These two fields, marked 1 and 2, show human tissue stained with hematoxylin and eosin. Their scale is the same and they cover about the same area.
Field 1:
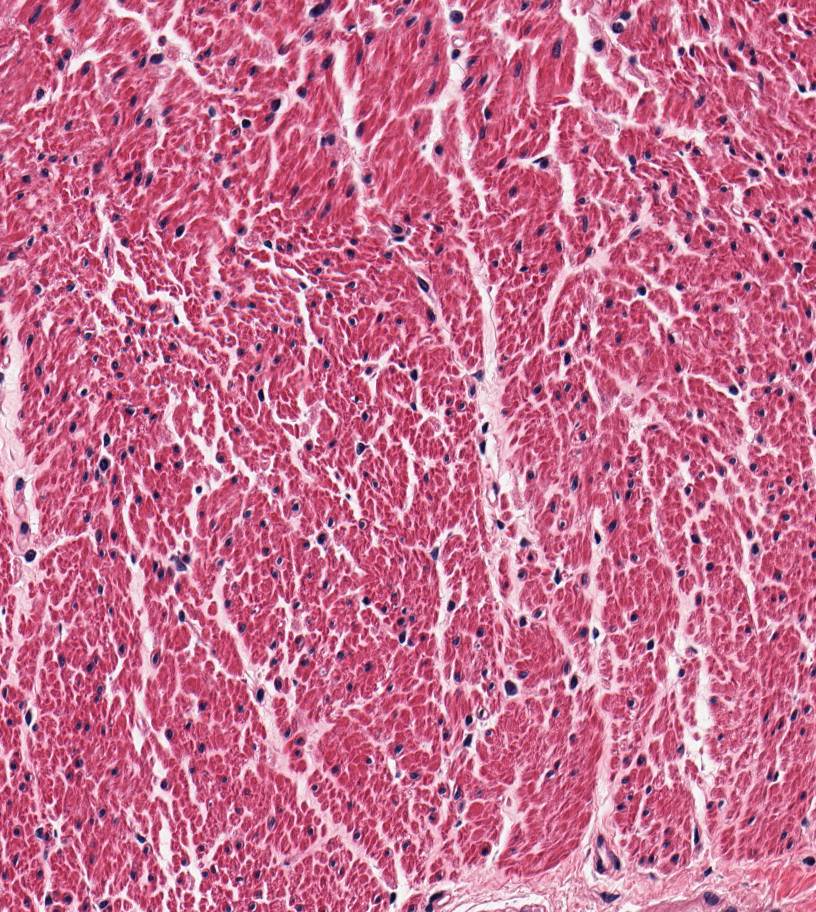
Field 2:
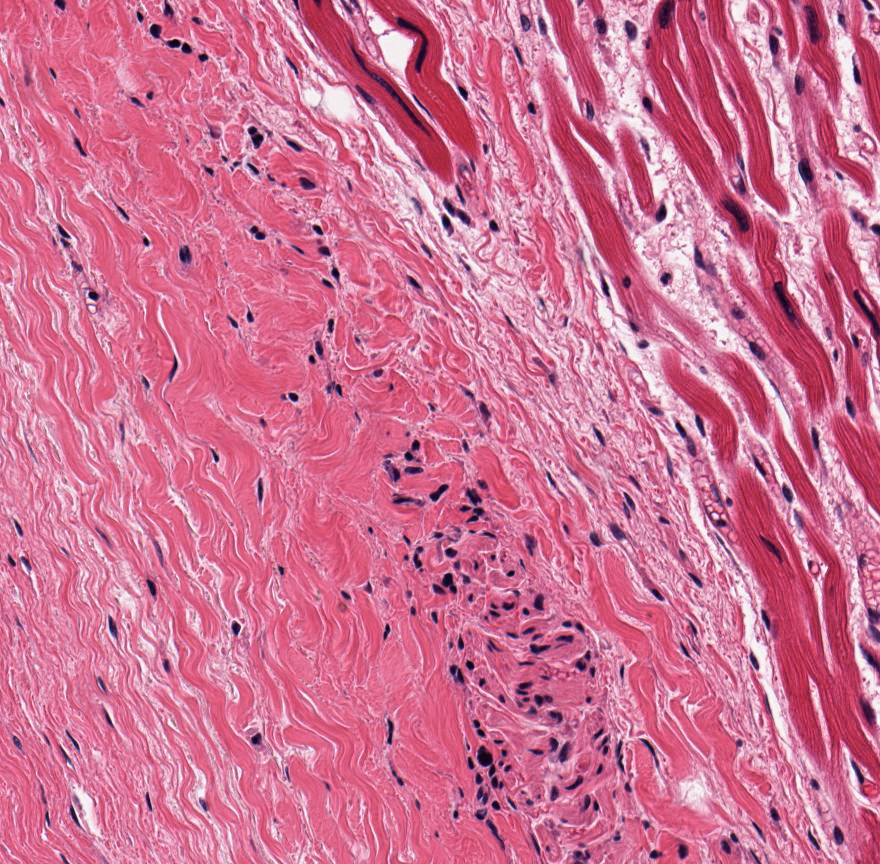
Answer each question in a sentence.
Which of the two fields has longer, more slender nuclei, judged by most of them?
On the whole the nuclei of field 2 are more drawn out than those of field 1.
